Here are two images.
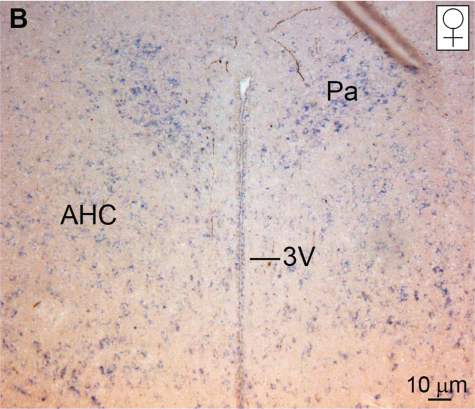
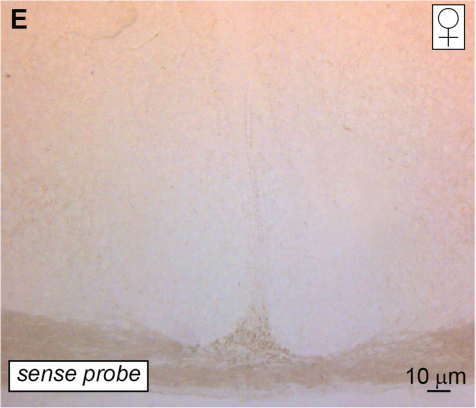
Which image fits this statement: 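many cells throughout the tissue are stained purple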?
the first image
